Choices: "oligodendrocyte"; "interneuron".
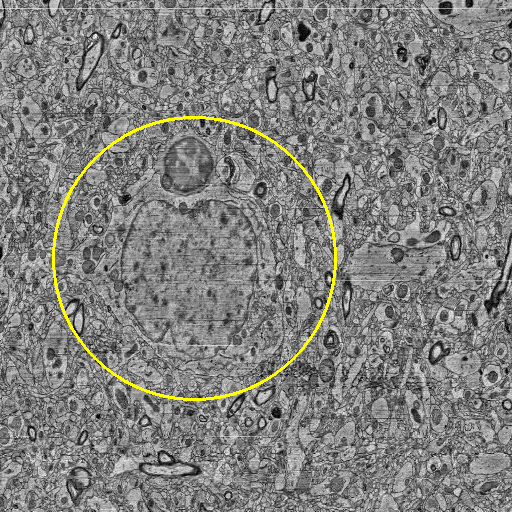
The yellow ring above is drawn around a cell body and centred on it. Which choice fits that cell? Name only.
interneuron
